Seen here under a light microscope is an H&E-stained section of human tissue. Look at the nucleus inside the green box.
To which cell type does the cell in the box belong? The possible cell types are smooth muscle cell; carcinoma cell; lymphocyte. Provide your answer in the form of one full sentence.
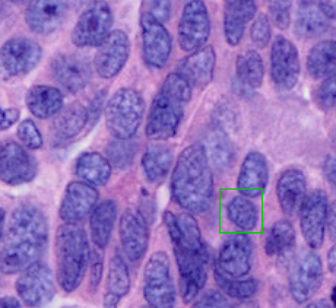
Recorded by type, the cell in the box is a carcinoma cell.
